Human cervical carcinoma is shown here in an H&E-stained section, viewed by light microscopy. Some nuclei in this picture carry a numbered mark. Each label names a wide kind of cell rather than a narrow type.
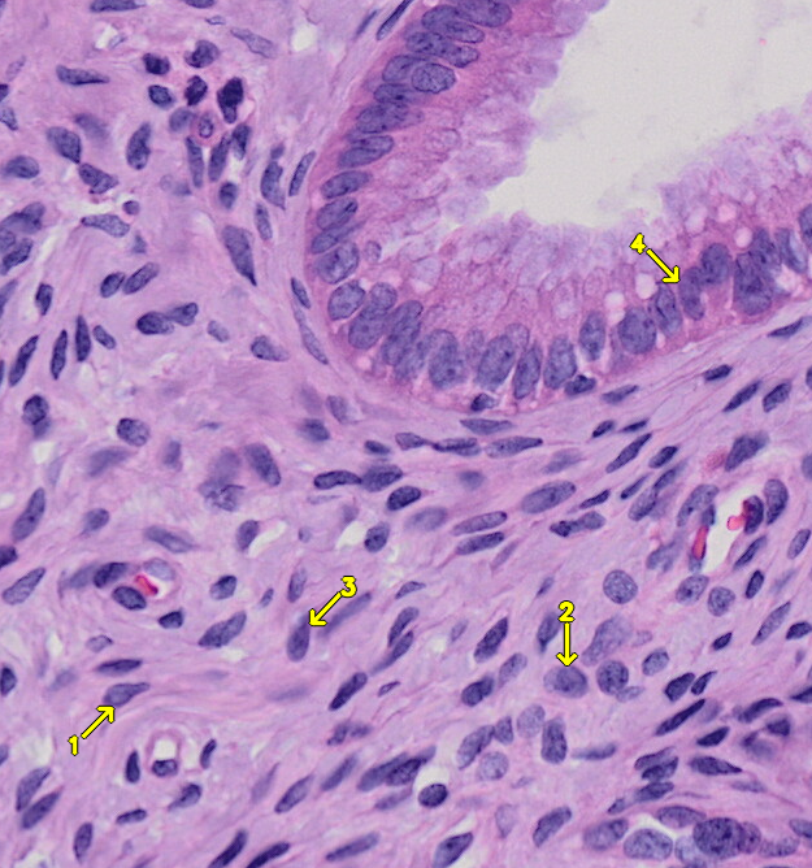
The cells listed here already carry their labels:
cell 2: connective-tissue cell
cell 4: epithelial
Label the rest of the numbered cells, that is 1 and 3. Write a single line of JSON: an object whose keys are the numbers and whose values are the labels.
{"1": "connective-tissue cell", "3": "connective-tissue cell"}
